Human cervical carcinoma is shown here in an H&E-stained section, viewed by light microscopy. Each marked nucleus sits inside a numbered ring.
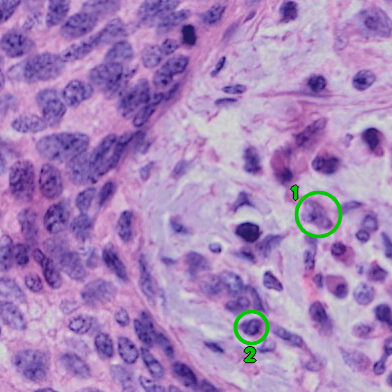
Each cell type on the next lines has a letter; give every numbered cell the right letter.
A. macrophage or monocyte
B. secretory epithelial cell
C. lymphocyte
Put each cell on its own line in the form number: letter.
1: A
2: C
